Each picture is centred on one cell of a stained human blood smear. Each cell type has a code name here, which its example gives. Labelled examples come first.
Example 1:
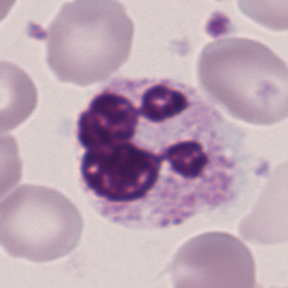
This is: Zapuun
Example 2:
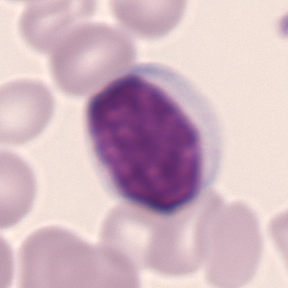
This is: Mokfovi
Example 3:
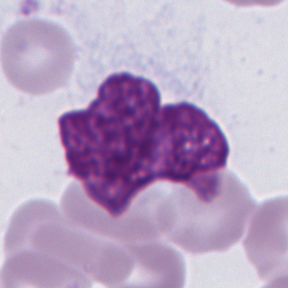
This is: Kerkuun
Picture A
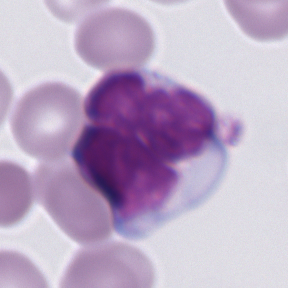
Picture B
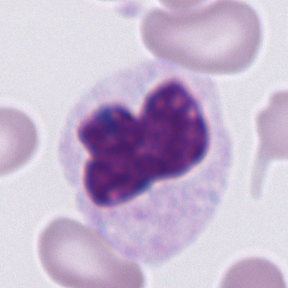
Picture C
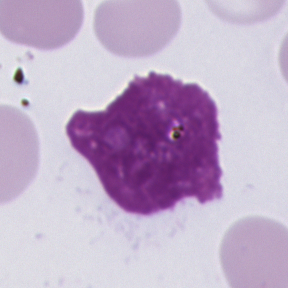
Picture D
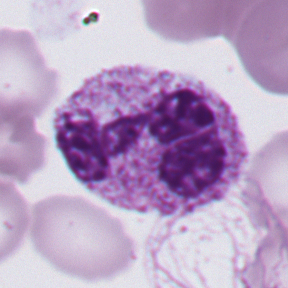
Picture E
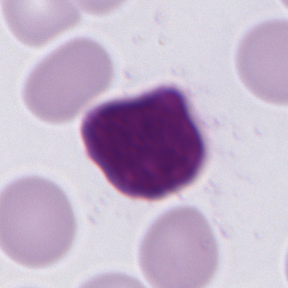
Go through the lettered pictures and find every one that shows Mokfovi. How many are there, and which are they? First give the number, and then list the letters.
1: A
